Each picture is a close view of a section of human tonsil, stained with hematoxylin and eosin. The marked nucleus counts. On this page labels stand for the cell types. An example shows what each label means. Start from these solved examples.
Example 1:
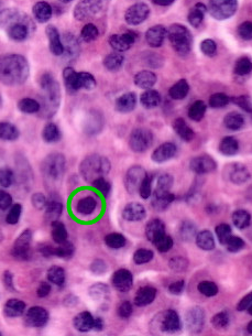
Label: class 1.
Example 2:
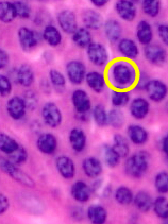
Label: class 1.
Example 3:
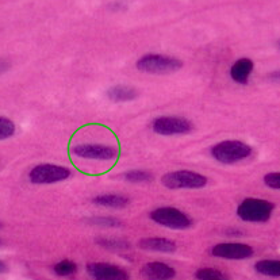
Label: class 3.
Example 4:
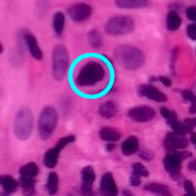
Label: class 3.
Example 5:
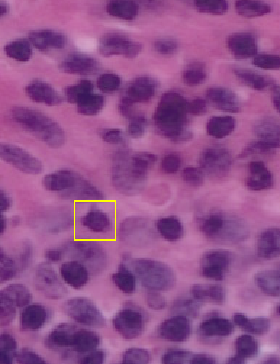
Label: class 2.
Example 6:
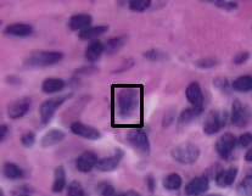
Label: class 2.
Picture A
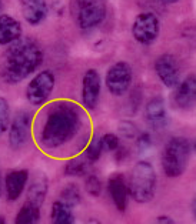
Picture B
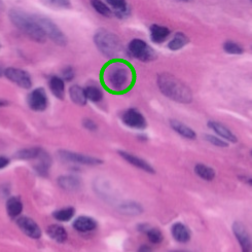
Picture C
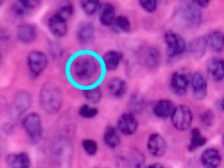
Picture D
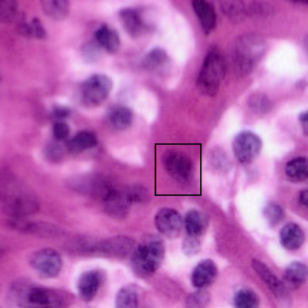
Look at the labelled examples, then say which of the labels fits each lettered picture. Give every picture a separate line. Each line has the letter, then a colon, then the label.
A: class 3.
B: class 2.
C: class 1.
D: class 3.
